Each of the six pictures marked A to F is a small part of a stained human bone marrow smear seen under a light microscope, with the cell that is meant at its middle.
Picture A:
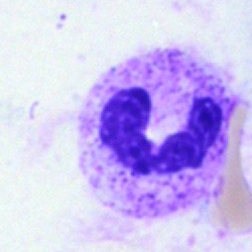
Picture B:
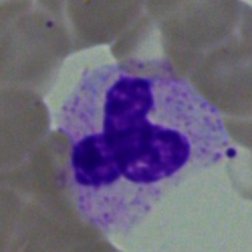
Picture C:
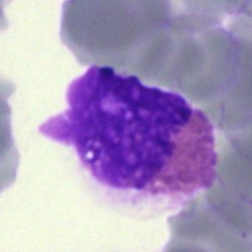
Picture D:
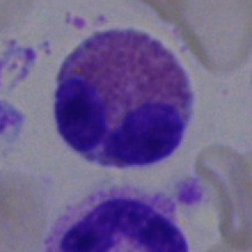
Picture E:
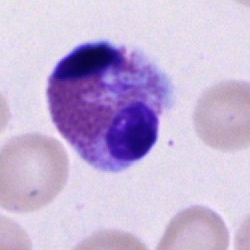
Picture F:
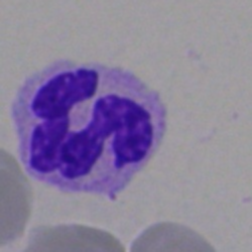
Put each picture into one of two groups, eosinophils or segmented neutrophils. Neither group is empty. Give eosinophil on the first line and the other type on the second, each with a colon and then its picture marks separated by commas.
eosinophil: C, D, E
segmented neutrophil: A, B, F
